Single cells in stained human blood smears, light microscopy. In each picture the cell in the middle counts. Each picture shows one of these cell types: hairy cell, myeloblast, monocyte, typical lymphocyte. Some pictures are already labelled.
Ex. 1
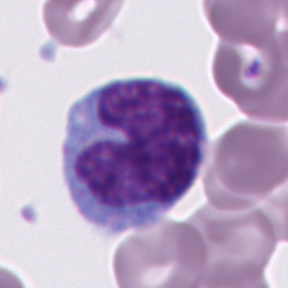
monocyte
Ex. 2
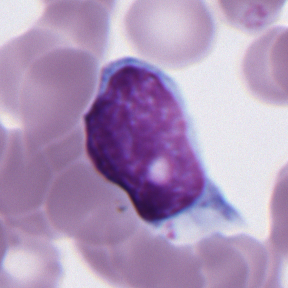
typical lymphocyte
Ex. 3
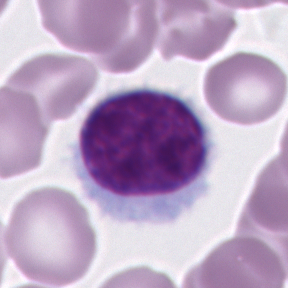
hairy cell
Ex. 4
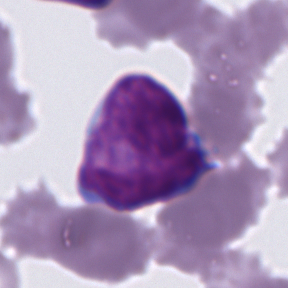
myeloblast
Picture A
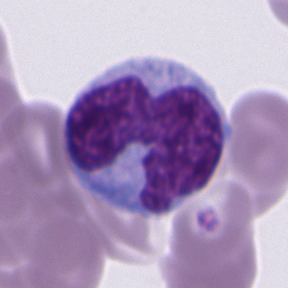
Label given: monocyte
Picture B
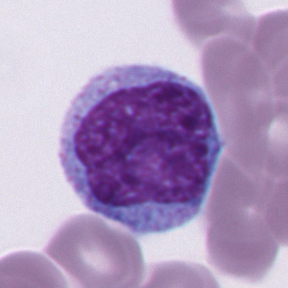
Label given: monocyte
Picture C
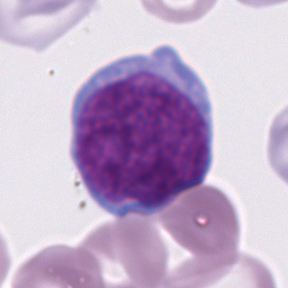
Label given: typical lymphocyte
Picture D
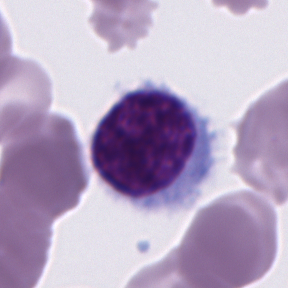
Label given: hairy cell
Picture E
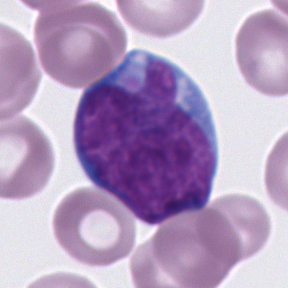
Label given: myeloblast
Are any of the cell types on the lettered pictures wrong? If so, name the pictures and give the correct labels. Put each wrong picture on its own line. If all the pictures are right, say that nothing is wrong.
C is labelled typical lymphocyte; correct label: myeloblast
